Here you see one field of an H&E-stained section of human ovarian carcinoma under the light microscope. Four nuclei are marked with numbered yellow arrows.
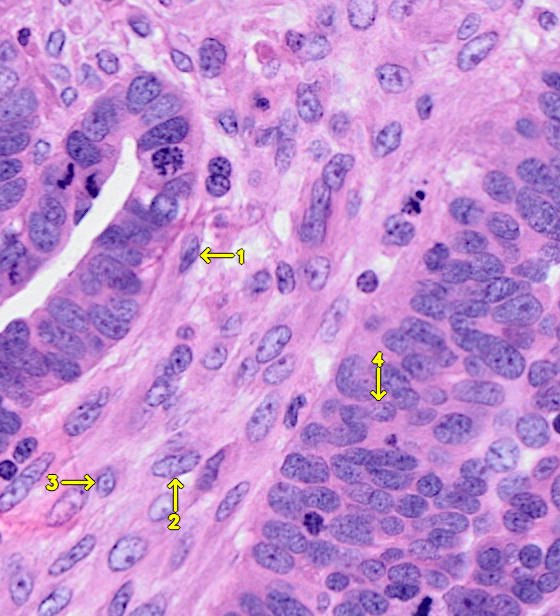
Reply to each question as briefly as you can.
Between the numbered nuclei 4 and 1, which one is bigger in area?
1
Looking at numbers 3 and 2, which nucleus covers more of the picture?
2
